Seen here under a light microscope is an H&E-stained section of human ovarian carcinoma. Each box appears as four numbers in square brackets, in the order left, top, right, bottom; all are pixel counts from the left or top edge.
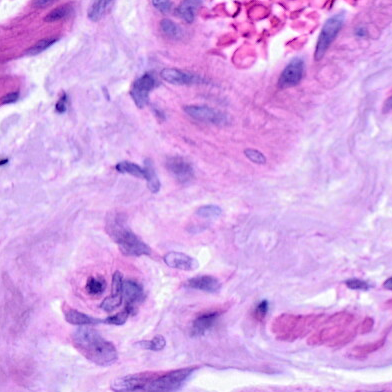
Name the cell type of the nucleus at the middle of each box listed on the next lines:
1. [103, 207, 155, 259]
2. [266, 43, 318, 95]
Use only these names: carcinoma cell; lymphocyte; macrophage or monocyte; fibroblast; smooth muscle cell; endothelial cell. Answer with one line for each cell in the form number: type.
1: fibroblast
2: endothelial cell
